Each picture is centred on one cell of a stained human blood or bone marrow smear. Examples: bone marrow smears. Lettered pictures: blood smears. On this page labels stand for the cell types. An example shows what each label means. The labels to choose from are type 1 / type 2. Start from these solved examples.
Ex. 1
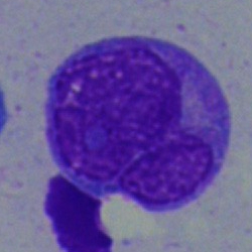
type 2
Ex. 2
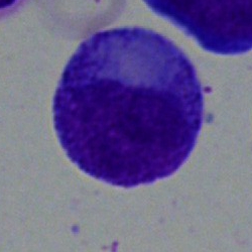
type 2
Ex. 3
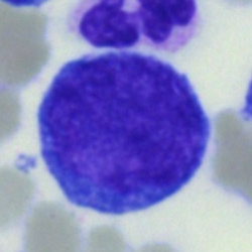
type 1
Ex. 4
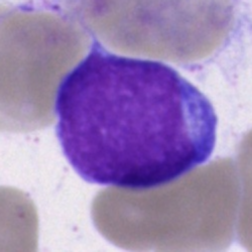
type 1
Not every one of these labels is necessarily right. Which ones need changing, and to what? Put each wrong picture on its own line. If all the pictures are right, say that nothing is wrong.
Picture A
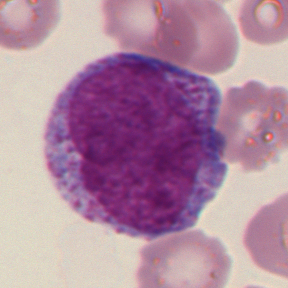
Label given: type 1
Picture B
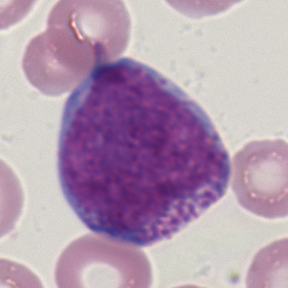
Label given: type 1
A: type 2, not type 1
B: type 2, not type 1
